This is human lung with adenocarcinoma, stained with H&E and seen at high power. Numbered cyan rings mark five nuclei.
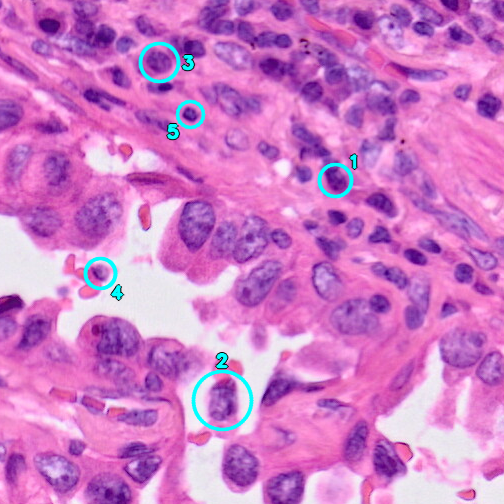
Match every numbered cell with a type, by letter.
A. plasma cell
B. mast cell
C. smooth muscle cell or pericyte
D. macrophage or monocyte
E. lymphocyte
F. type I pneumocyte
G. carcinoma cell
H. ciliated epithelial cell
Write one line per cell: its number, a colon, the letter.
1: A
2: G
3: A
4: E
5: E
